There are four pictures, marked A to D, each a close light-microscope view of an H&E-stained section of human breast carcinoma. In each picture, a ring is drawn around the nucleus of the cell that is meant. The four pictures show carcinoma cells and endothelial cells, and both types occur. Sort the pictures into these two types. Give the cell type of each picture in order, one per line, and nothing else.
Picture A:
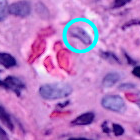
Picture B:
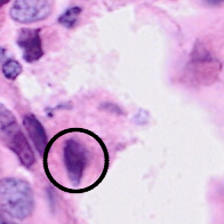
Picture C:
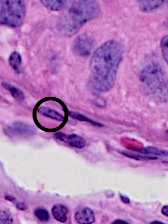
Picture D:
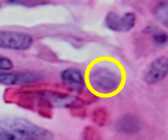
endothelial cell
carcinoma cell
endothelial cell
endothelial cell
